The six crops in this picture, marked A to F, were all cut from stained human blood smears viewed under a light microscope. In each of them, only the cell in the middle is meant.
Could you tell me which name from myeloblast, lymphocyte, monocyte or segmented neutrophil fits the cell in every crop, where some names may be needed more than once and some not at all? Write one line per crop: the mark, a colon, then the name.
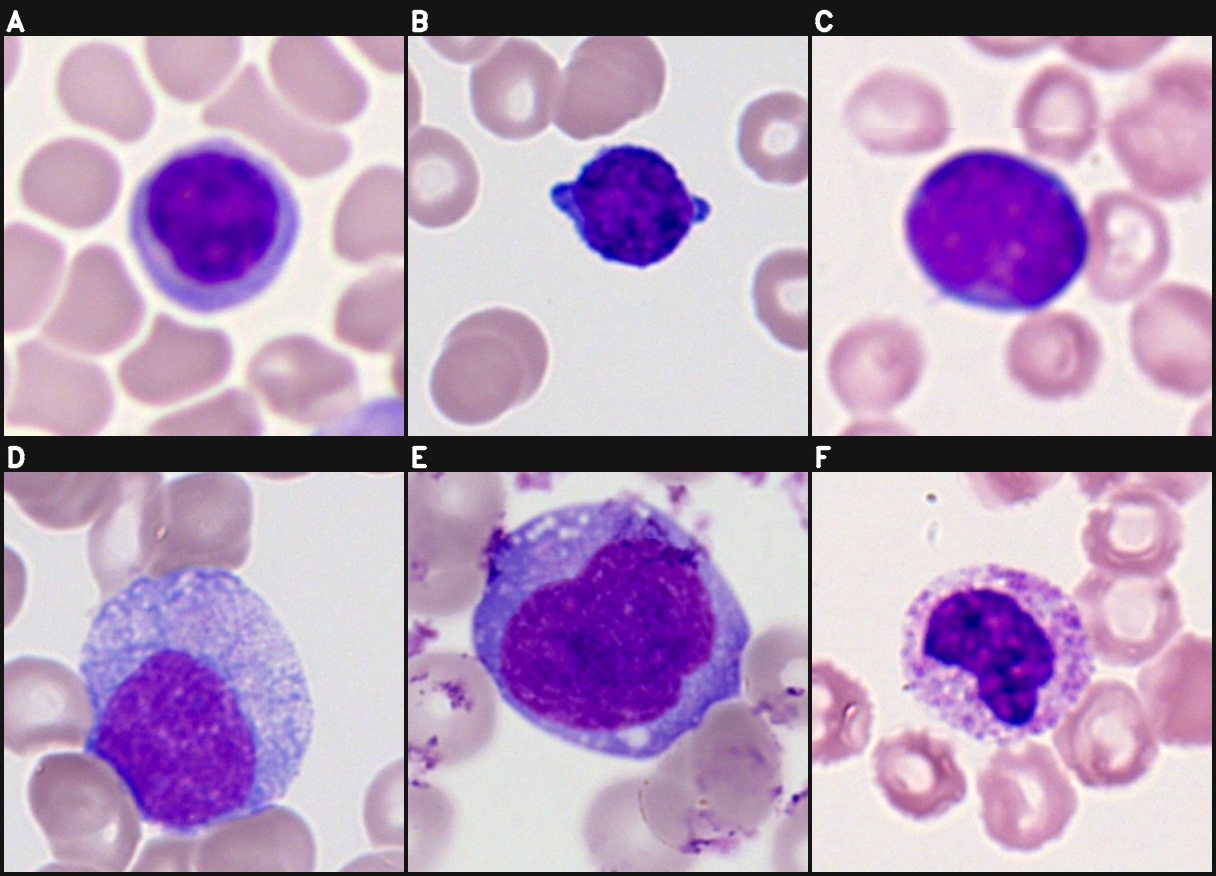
A: lymphocyte
B: lymphocyte
C: myeloblast
D: monocyte
E: myeloblast
F: segmented neutrophil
